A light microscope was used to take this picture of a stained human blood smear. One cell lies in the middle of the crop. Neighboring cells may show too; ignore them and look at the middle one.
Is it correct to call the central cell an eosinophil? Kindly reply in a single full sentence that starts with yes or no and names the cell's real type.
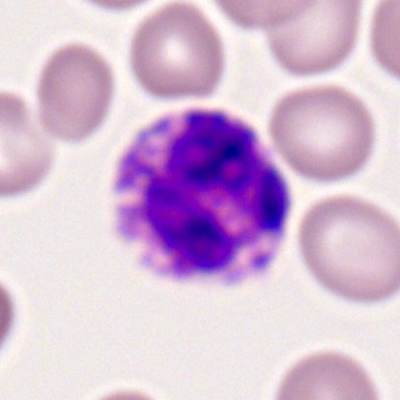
No, what occupies the middle of the crop is a basophil and not an eosinophil.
